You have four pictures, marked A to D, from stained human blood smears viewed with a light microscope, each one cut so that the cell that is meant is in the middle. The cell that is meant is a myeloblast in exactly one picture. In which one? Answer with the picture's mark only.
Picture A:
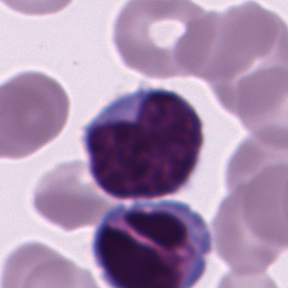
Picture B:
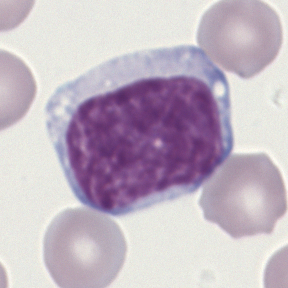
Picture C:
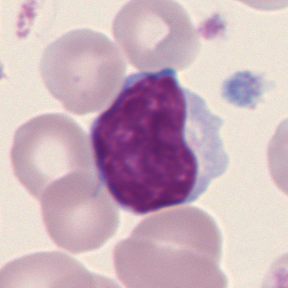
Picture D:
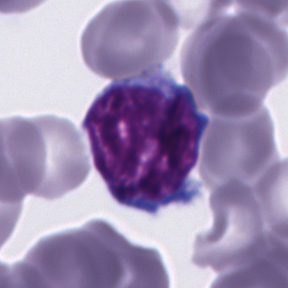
B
